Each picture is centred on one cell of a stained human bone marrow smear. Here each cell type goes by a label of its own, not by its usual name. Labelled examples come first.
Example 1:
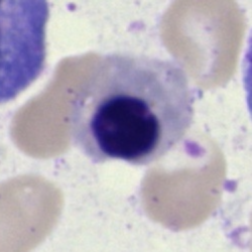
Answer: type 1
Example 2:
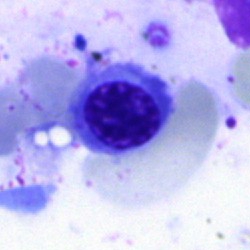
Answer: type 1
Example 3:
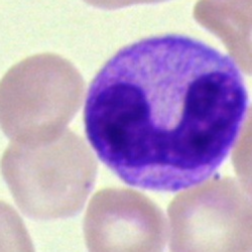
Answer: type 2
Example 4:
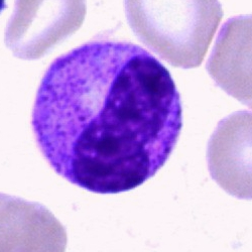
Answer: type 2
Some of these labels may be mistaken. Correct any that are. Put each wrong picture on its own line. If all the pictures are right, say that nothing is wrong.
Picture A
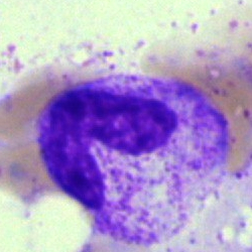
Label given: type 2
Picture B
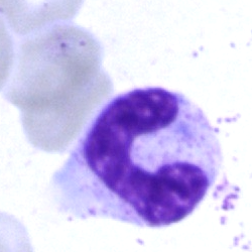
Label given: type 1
B: change type 1 to type 2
